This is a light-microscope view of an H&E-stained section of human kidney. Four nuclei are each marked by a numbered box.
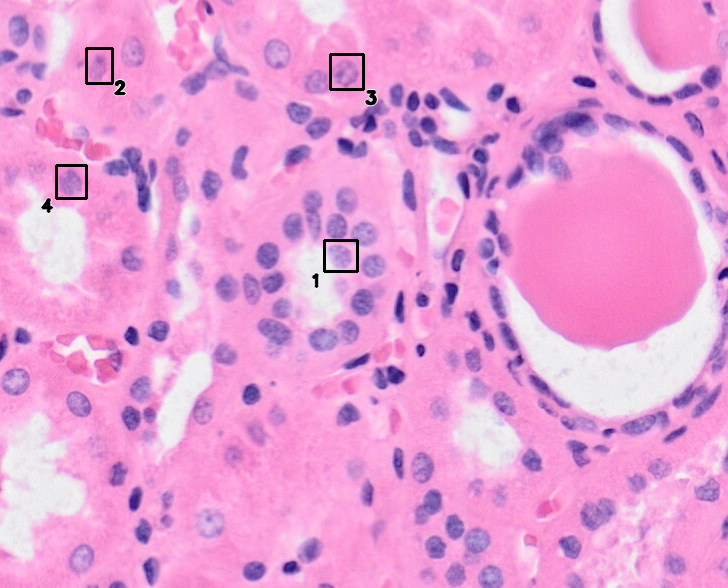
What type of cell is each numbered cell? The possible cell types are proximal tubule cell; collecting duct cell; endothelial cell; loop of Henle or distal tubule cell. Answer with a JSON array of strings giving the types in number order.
["collecting duct cell", "proximal tubule cell", "proximal tubule cell", "proximal tubule cell"]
